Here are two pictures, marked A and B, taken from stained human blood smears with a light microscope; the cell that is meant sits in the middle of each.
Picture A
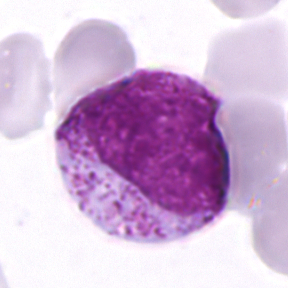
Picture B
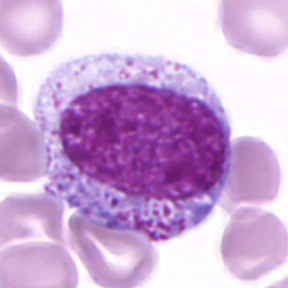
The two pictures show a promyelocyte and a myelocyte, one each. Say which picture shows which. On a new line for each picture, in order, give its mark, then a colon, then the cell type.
A: myelocyte
B: promyelocyte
